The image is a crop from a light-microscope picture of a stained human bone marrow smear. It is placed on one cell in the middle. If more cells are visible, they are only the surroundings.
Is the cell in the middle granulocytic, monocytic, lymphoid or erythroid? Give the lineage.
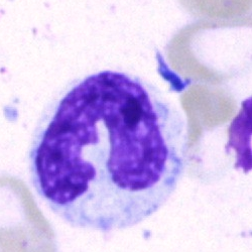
granulocytic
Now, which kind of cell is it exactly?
segmented neutrophil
